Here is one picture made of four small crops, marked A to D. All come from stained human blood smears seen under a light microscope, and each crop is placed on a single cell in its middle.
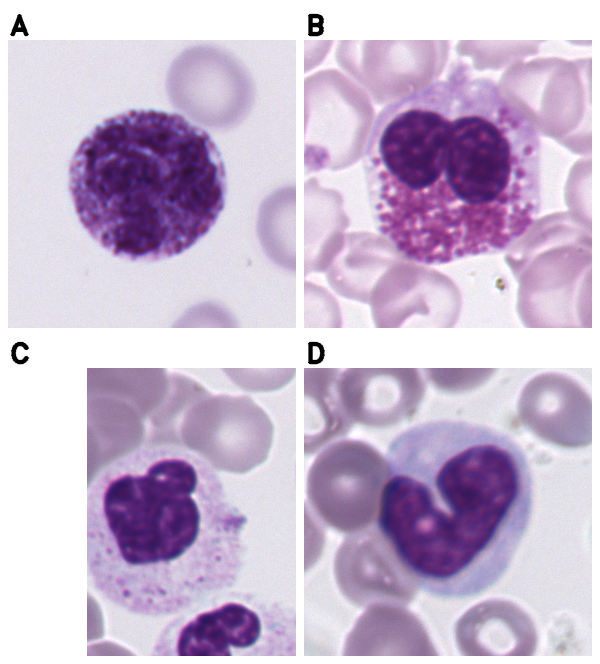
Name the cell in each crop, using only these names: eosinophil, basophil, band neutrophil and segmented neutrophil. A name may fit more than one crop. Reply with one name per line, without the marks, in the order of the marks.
basophil
eosinophil
segmented neutrophil
band neutrophil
